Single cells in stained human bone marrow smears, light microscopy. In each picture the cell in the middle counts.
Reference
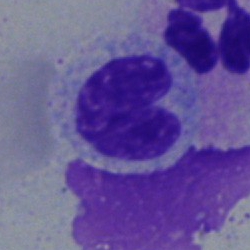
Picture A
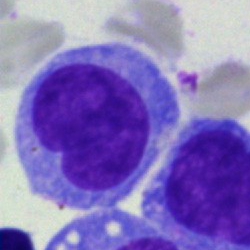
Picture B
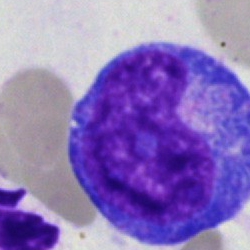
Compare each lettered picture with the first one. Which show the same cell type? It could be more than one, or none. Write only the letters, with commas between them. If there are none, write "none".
none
